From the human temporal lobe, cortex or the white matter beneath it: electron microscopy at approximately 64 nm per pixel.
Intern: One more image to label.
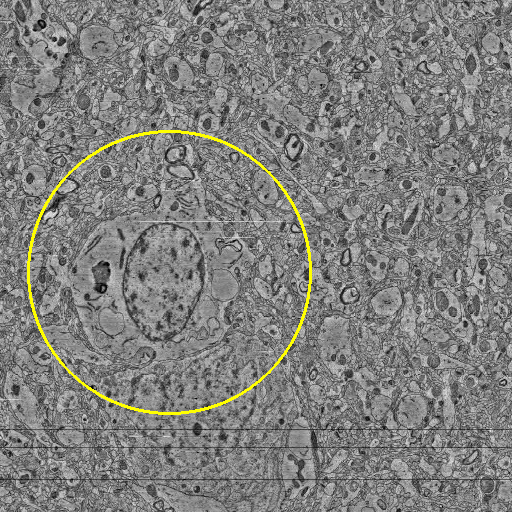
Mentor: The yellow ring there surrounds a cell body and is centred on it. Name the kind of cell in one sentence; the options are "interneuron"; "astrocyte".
The ring marks the cell body of an astrocyte.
